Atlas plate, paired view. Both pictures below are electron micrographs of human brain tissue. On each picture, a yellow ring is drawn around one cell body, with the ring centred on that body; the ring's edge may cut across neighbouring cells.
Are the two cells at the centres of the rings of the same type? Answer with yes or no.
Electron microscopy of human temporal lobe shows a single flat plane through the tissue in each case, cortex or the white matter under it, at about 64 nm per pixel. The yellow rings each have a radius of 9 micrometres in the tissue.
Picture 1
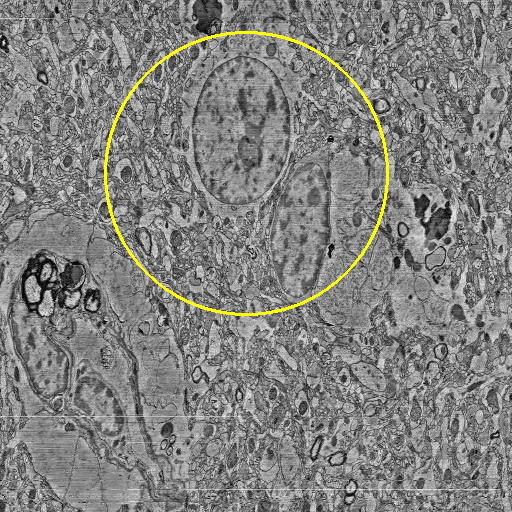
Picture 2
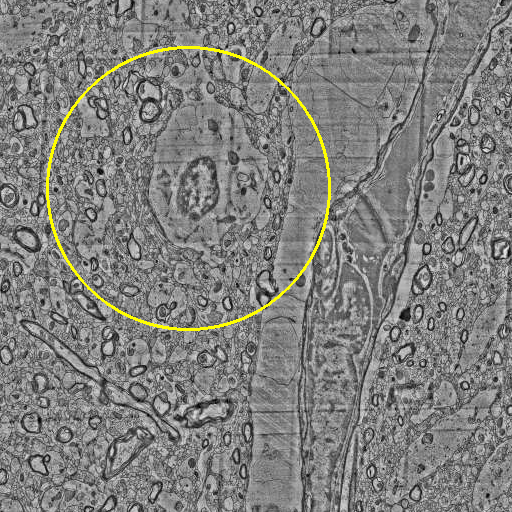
yes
